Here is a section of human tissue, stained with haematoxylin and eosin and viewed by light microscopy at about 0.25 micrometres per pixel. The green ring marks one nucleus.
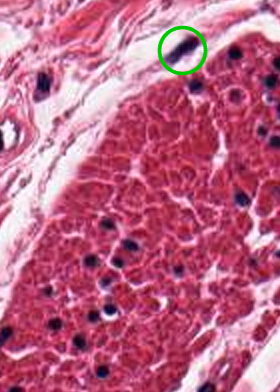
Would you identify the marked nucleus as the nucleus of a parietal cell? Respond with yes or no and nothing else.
no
